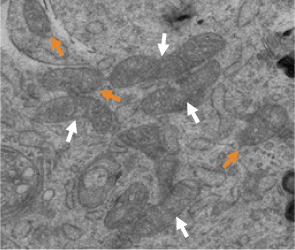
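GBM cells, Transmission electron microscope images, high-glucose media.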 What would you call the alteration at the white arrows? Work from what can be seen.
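Fusion. The white arrows point to places where elongated organelles meet and join. The joined organelles form longer, branched shapes.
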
